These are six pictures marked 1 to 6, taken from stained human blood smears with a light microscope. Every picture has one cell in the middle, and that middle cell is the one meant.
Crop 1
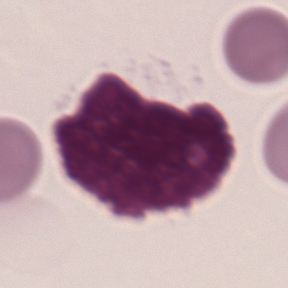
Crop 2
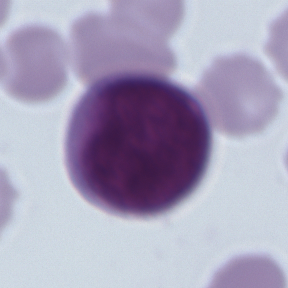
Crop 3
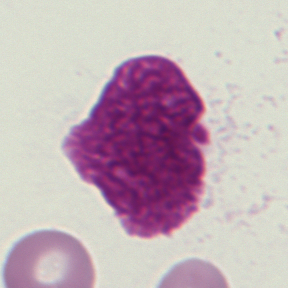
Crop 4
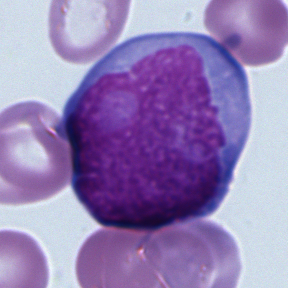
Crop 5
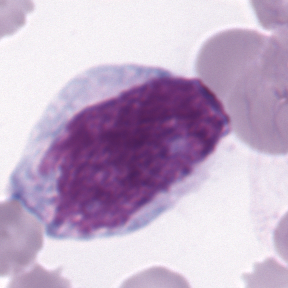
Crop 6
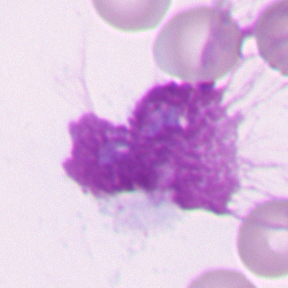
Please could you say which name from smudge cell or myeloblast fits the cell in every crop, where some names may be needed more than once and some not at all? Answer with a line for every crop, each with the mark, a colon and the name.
1: smudge cell
2: myeloblast
3: smudge cell
4: myeloblast
5: myeloblast
6: smudge cell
